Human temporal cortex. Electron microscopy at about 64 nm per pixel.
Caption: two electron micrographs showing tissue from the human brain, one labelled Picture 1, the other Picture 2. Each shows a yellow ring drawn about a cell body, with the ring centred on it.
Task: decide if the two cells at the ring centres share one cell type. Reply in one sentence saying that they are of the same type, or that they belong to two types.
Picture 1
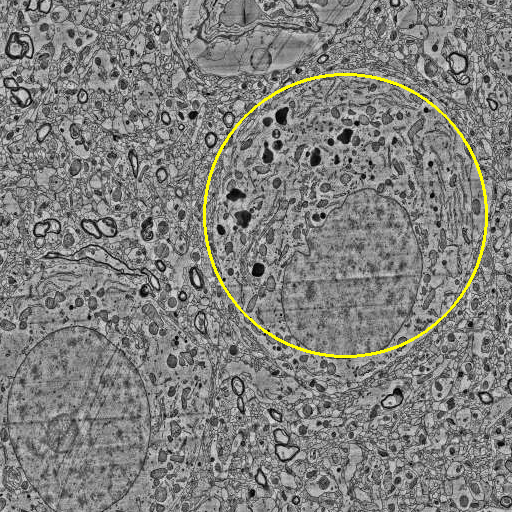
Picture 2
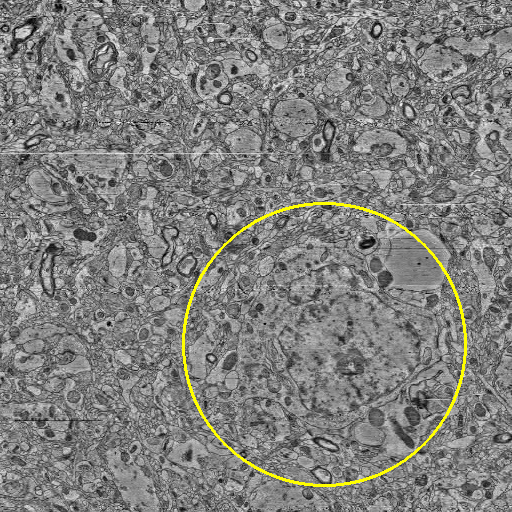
The cells at the ring centres in Picture 1 and Picture 2 are of the same type.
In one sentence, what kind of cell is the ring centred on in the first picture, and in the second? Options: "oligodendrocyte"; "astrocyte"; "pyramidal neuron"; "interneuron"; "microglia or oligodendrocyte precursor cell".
In each of the two pictures, the ringed cell is an interneuron.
